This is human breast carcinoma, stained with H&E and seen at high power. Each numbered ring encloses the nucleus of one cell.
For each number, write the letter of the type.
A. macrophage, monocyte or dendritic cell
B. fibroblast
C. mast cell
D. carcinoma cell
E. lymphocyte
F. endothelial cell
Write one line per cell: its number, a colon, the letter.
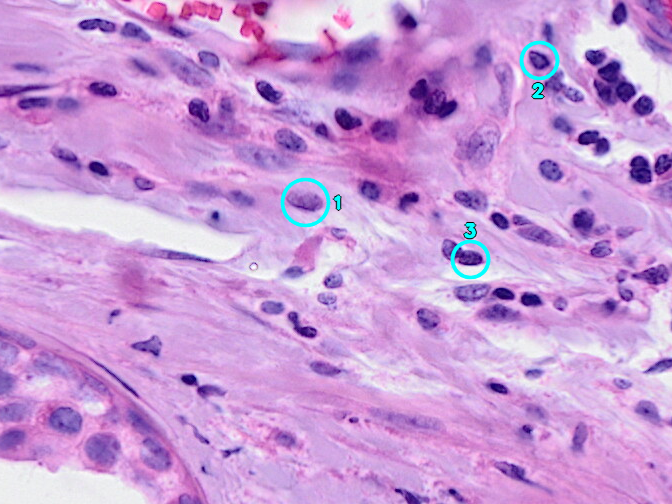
1: B
2: E
3: E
